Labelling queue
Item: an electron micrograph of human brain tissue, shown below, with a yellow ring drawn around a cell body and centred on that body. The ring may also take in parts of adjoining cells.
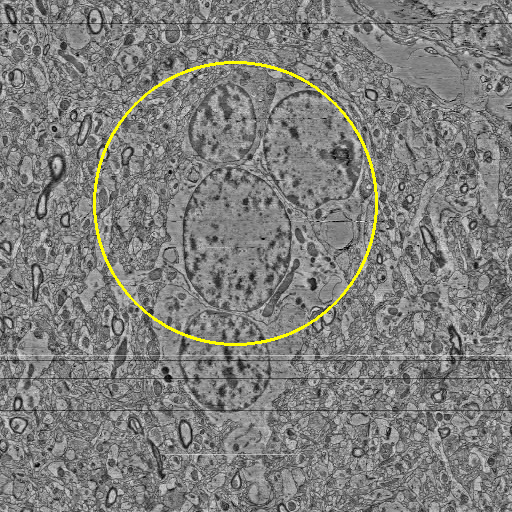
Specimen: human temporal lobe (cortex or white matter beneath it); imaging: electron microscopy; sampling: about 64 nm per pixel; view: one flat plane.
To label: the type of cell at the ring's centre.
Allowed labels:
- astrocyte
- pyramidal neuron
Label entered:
astrocyte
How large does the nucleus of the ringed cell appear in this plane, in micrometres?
About 10 micrometres by about 7 micrometres in this plane.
